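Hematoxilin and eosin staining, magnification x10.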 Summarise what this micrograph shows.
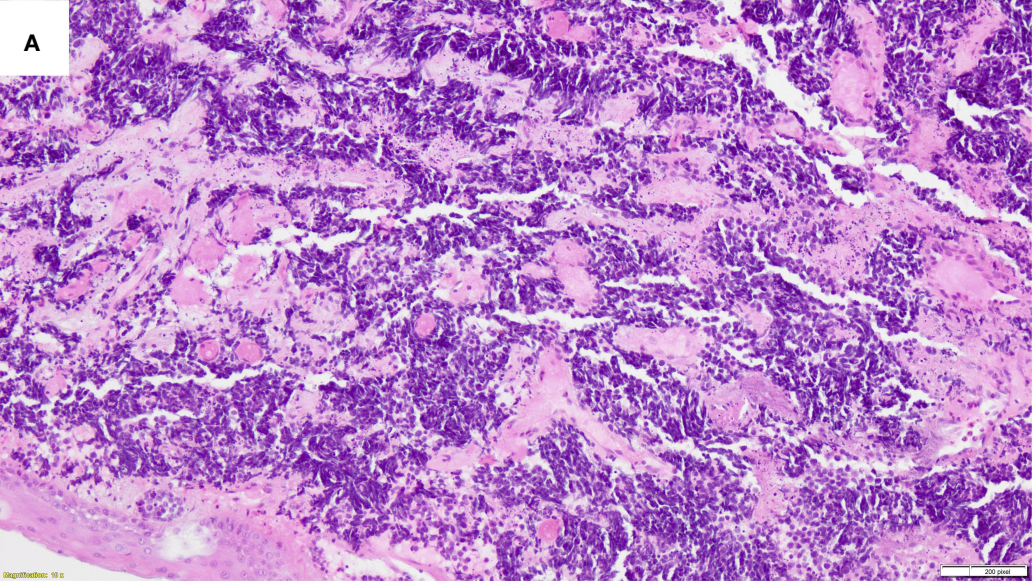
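This is a small cell carcinoma, with sheets and cords of small tumor cells filling the tissue beneath a layer of surface squamous epithelium at the lower left. The tumor cells have dark purple, hyperchromatic nuclei and very little visible cytoplasm, and they are packed tightly against each other. Many nuclei are smeared and drawn out into elongated dark streaks, giving a crushed look to large parts of the field. Between the cell groups run bands and islands of pink, fibrous stroma.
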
